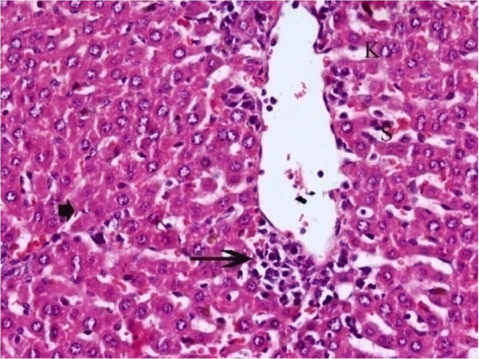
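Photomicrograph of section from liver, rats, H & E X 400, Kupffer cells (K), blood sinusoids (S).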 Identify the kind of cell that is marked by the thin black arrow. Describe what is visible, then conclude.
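A compact cluster of small cells with dark round nuclei sits at the wall of the vein. The cluster cells are far smaller than the hepatocytes nearby.
Answer: inflammatory cells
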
